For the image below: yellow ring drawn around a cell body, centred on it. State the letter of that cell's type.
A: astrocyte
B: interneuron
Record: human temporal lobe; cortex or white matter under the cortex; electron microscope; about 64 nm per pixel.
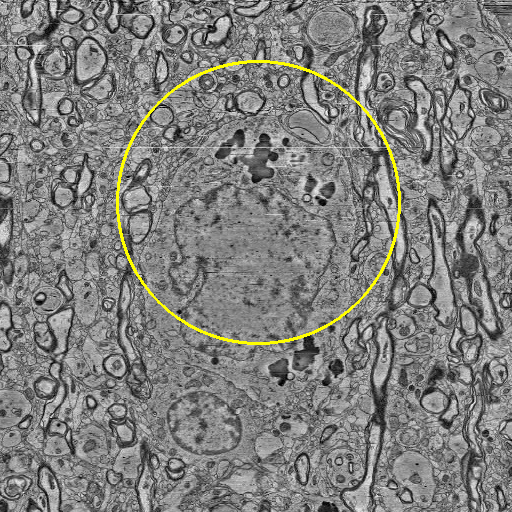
B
